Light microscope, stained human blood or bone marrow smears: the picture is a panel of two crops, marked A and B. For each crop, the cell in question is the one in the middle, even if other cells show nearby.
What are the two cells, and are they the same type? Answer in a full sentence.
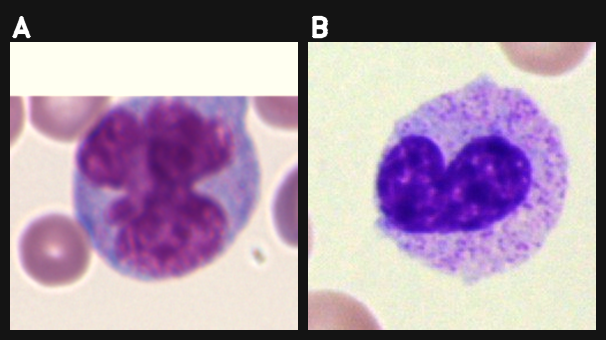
No, enter a monocyte for crop A and a metamyelocyte for crop B.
